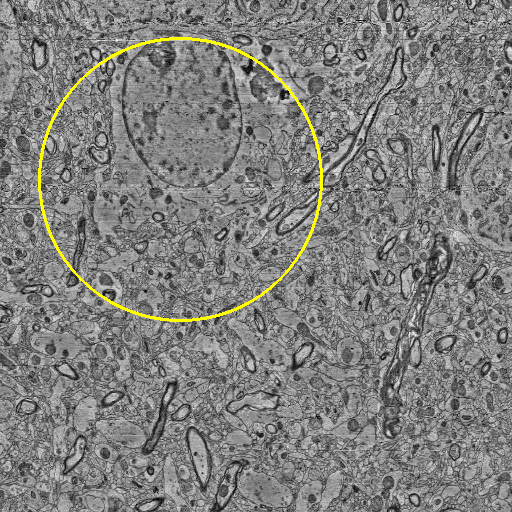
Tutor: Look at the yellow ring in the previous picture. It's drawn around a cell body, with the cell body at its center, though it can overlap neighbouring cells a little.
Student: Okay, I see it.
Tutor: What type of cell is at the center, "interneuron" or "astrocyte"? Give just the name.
astrocyte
